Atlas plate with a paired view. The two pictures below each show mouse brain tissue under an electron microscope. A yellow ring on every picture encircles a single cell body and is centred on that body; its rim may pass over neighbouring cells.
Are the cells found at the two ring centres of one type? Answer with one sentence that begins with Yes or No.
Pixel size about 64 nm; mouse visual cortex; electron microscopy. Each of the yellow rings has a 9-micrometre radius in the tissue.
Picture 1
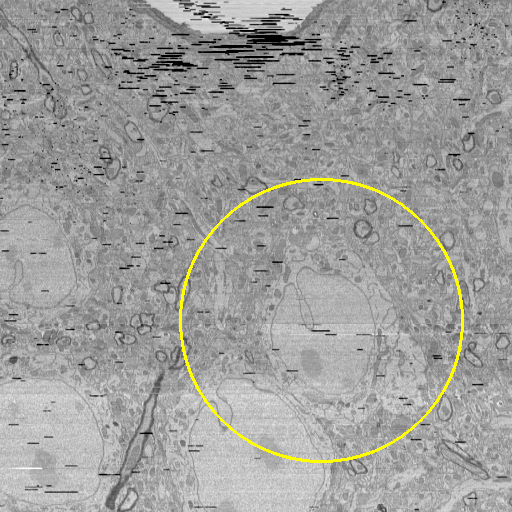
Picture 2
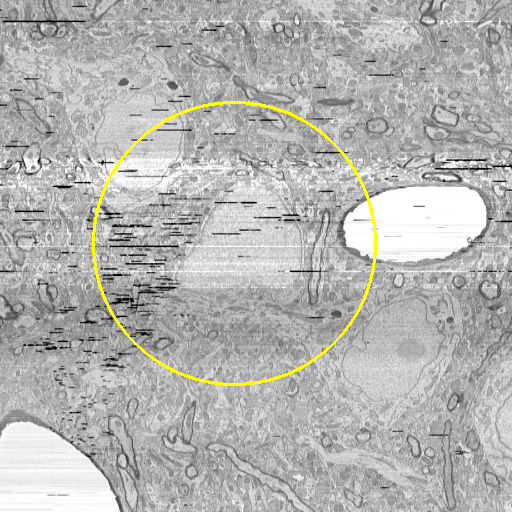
No, the two cells lying at the centres of the rings are of two types.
